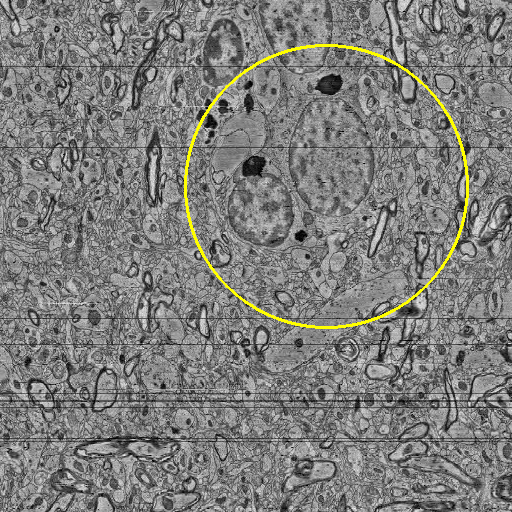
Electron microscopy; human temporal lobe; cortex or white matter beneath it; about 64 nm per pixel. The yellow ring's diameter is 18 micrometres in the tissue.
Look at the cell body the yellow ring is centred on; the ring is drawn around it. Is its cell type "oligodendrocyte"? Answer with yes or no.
Yes, that is its cell type.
